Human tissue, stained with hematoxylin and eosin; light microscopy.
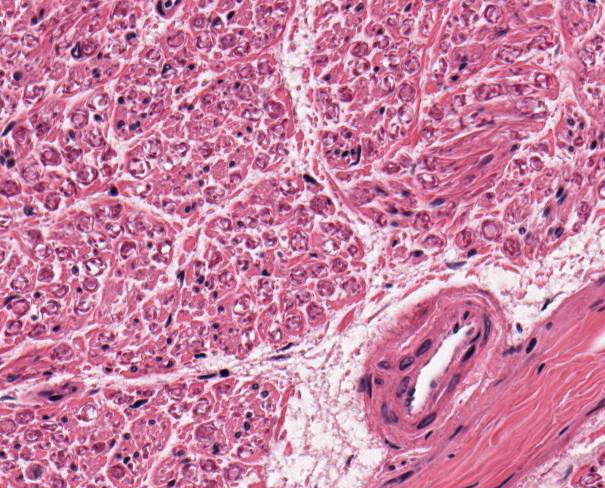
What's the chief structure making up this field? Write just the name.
nerve fascicle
